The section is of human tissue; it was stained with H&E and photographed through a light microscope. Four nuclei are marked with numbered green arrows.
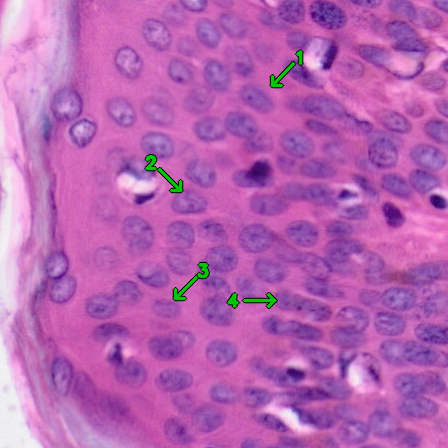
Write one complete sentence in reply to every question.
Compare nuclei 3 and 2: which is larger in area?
Nucleus 2 is larger, with an area about 1.5 times that of nucleus 3.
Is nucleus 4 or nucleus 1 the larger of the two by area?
Nucleus 1 is larger, with an area about 2 times that of nucleus 4.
